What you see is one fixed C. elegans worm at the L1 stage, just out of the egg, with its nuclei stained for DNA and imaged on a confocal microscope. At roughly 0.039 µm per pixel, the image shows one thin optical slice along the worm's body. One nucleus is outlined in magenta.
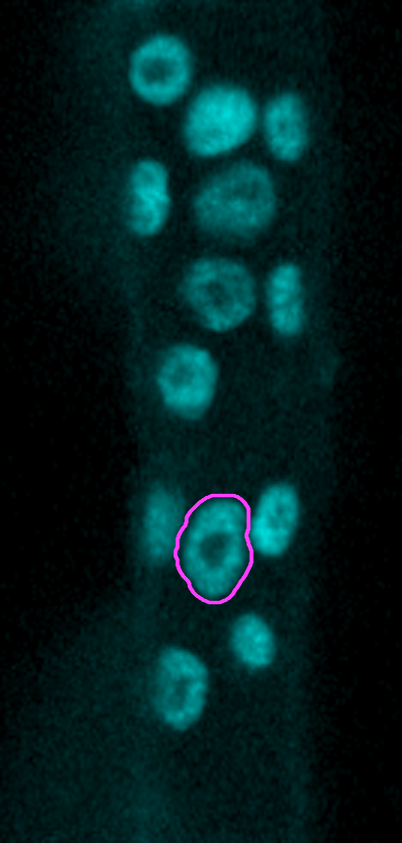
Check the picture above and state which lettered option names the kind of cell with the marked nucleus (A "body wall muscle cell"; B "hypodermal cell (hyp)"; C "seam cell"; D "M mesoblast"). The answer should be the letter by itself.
B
